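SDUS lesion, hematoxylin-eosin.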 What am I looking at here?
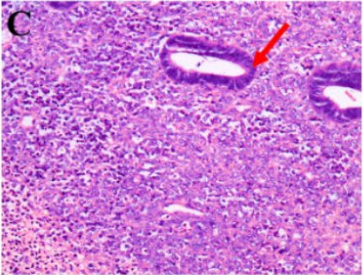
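Endometrium overrun by tumor. Dense sheets of small to medium round tumor cells with dark nuclei and scant cytoplasm fill the field. Embedded within them are tubular endometrial glands lined by a single layer of tall columnar cells with basal, elongated, darkly stained nuclei and open lumina. The tumor cells press closely around the glands without forming glands themselves. Toward one side the tumor is paler and more loosely cellular with scattered debris, suggesting necrosis.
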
